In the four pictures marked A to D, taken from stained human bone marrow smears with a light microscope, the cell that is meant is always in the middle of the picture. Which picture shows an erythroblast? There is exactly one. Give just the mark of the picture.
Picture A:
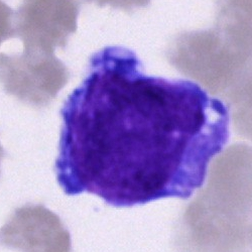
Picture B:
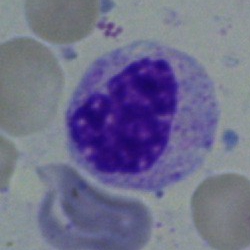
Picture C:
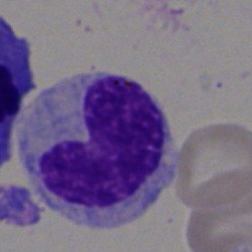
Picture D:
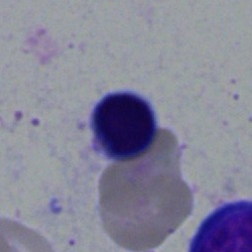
D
